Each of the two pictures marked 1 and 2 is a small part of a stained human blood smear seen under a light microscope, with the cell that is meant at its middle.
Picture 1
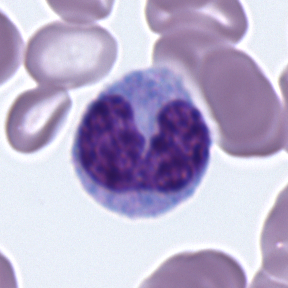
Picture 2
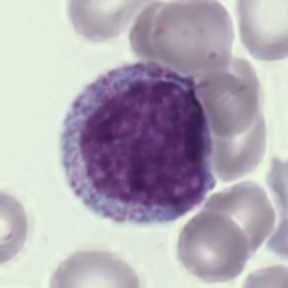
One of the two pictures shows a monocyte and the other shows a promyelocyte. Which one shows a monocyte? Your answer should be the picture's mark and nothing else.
1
